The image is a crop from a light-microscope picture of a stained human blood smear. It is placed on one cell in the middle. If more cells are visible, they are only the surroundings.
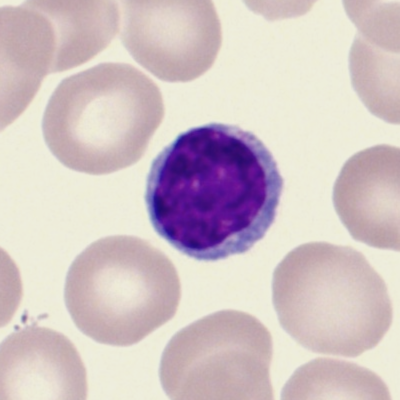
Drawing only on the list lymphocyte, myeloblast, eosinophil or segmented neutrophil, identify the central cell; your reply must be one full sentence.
At the middle of the frame sits a lymphocyte.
